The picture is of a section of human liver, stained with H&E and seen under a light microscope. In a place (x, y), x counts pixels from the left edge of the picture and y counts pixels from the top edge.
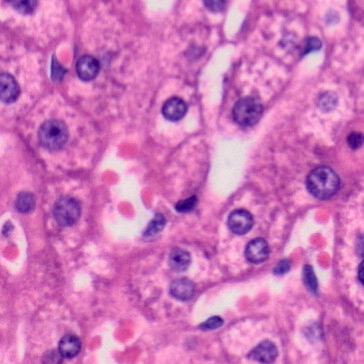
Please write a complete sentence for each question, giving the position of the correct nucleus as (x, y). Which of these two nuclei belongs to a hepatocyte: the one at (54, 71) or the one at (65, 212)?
Belonging to a hepatocyte is the nucleus at (65, 212).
